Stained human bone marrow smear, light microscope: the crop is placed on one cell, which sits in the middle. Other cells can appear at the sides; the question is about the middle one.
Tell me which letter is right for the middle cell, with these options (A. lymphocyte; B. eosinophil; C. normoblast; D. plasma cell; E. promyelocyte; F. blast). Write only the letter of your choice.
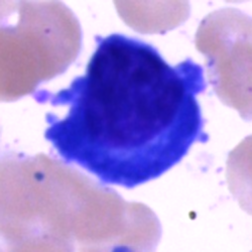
D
